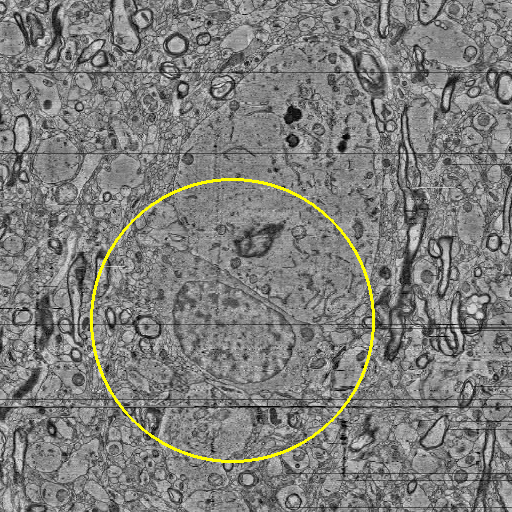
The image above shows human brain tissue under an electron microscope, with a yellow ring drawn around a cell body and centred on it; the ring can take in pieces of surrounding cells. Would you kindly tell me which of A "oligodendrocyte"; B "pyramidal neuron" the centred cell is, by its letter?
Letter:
A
